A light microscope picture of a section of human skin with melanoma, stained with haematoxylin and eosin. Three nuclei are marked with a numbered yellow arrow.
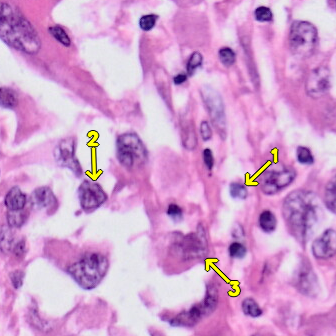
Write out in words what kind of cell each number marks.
Cell 1 is a lymphocyte, cell 2 is a melanoma cell and cell 3 is a melanoma cell.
